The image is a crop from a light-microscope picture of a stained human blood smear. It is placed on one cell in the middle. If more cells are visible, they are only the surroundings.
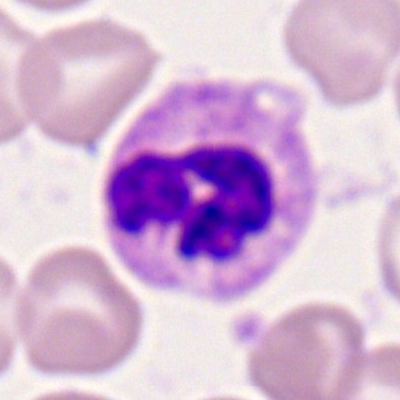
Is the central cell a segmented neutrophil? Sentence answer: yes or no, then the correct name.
Yes, the middle cell is properly termed a segmented neutrophil.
